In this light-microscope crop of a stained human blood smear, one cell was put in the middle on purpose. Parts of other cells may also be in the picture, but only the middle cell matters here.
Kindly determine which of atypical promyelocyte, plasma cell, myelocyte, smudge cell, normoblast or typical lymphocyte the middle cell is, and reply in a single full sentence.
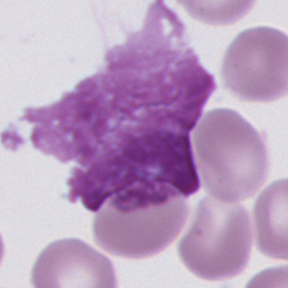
The cell found in the middle of this crop is a smudge cell.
